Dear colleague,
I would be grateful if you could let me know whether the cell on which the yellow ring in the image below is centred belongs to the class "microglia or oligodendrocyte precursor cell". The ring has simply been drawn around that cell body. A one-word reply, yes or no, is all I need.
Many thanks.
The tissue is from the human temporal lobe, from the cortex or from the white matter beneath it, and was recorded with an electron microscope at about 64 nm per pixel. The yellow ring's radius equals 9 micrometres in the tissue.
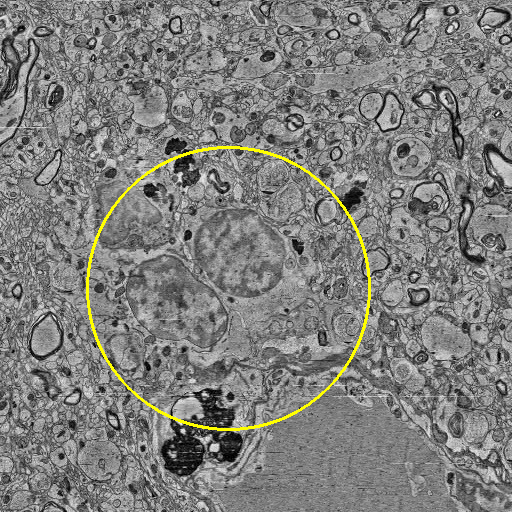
no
